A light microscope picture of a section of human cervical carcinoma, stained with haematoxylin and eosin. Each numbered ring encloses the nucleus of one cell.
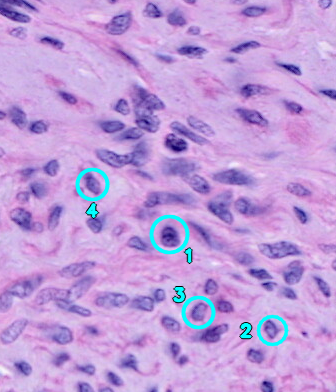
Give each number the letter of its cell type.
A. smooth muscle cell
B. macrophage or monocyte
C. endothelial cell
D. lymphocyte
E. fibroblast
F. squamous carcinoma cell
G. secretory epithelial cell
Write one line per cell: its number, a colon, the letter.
1: D
2: A
3: A
4: A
